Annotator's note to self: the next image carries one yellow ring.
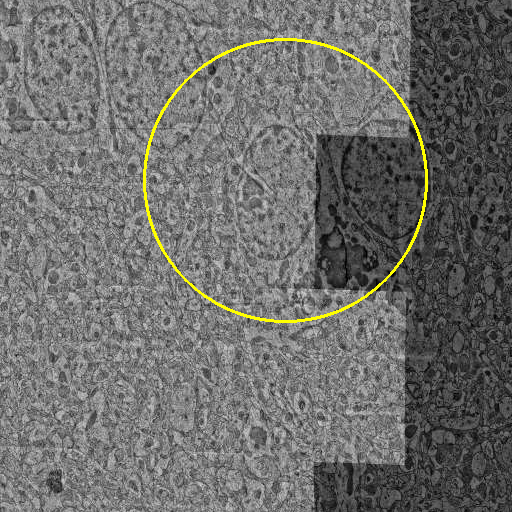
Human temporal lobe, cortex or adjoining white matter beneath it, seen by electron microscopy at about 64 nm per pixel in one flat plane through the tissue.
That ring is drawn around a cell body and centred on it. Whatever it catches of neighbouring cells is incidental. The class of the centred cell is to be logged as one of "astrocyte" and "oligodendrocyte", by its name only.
astrocyte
